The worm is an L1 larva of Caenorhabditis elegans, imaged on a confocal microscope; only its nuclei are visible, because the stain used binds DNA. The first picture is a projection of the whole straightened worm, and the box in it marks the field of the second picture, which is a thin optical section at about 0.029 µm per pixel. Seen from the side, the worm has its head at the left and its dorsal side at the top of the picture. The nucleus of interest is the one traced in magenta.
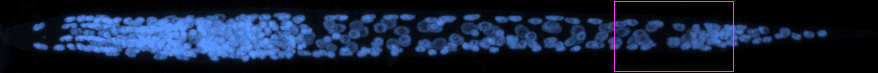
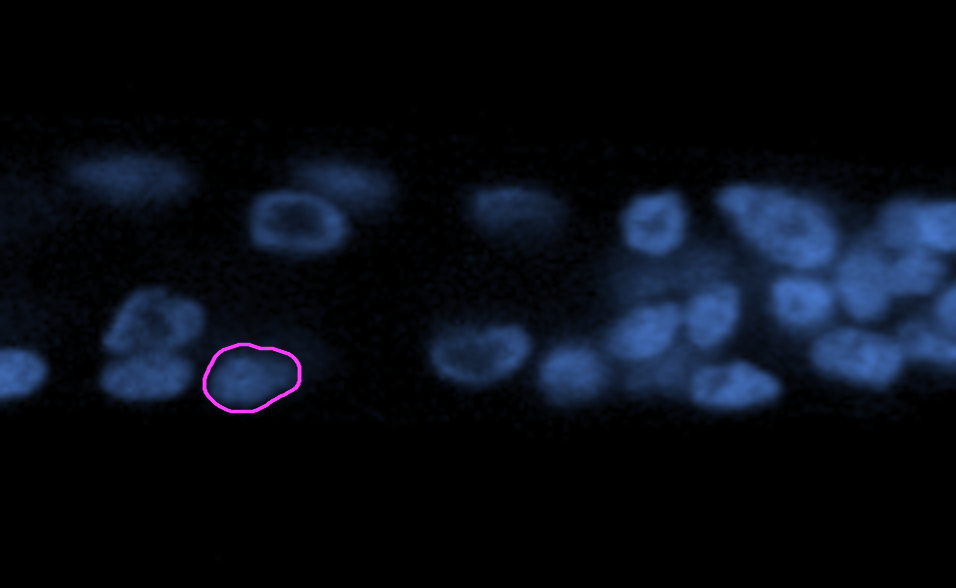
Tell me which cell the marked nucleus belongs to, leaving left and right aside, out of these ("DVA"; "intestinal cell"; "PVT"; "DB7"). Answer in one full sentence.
The marked nucleus belongs to DB7, a neuron.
